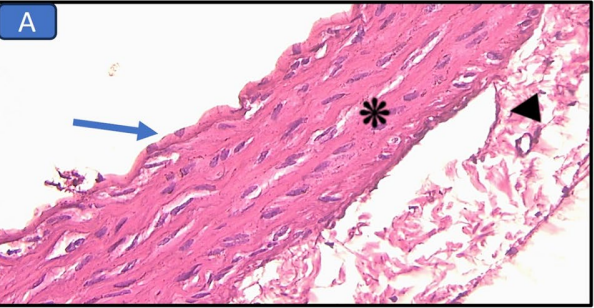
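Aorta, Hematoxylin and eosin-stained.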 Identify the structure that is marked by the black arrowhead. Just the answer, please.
adventitia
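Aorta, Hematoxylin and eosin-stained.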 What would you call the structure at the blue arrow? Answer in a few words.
Tunica intima.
